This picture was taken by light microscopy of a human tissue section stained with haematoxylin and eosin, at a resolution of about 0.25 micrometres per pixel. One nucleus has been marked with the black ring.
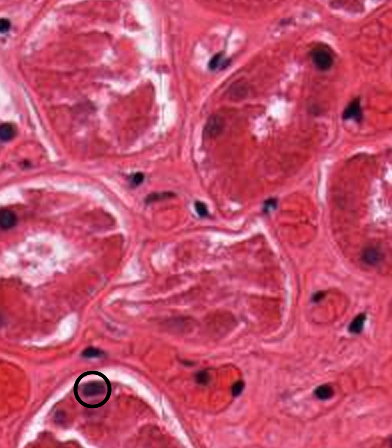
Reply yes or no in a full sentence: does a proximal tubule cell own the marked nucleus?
Yes, the nucleus picked out by the mark belongs to a proximal tubule cell.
